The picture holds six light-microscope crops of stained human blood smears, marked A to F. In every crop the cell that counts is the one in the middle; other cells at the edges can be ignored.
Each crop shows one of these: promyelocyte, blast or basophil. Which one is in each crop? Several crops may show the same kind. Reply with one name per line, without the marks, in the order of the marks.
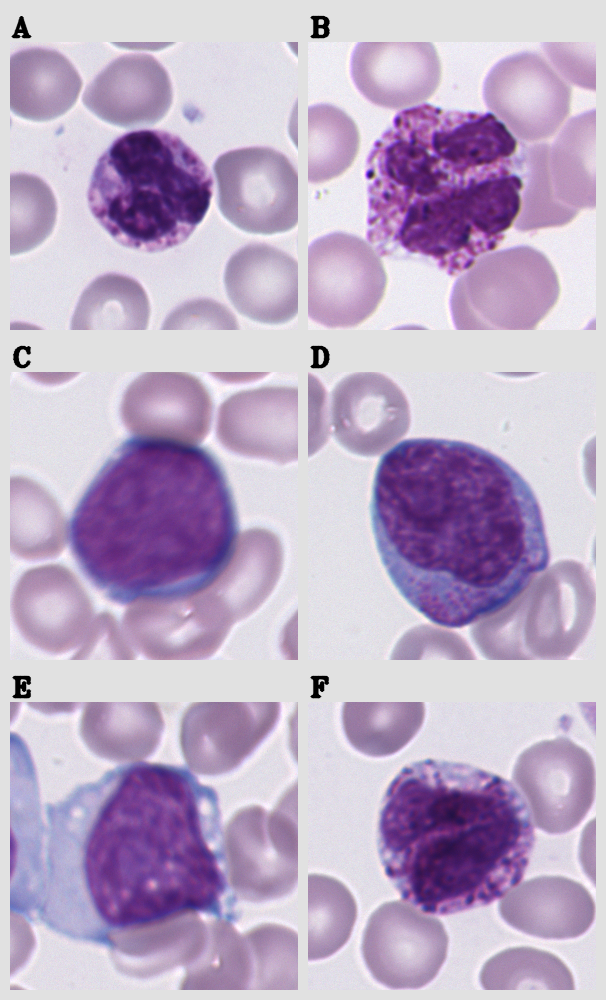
basophil
basophil
blast
promyelocyte
blast
basophil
